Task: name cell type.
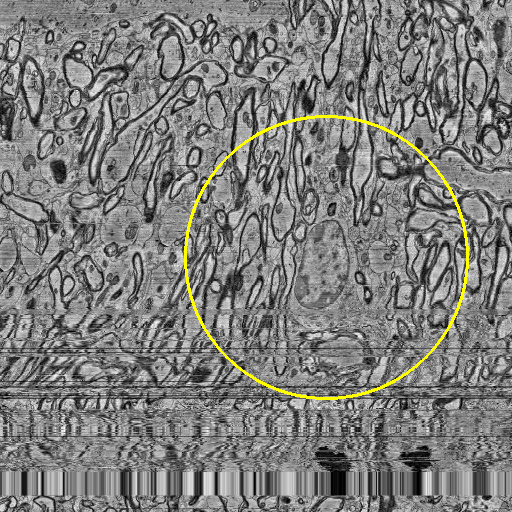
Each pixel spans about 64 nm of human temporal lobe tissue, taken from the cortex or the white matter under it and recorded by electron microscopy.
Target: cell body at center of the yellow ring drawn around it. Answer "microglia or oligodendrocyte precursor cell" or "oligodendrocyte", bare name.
microglia or oligodendrocyte precursor cell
